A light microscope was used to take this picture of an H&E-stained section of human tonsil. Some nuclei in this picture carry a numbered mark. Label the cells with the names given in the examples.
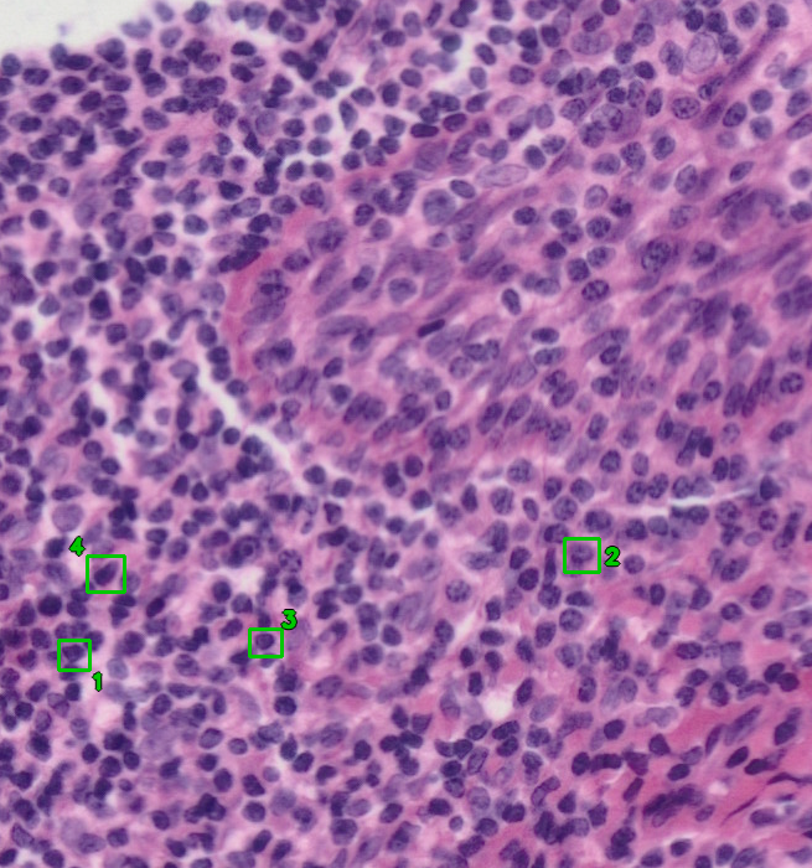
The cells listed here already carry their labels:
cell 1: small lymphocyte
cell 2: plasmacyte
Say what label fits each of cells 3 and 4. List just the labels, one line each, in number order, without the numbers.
small lymphocyte
small lymphocyte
